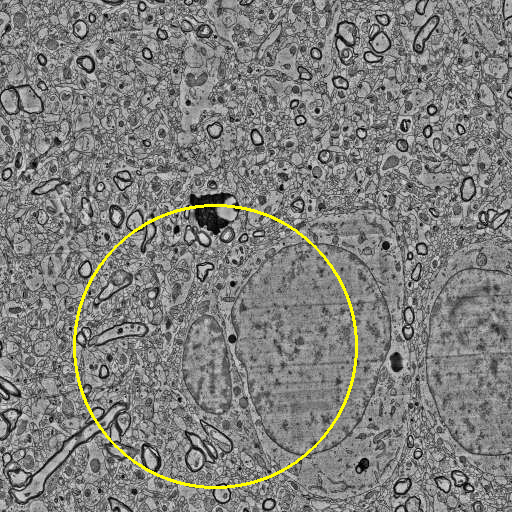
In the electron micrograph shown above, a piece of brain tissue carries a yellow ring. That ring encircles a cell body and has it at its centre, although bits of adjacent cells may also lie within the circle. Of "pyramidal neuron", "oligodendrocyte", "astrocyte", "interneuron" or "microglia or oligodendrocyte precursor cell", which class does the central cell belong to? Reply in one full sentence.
The cell body at the centre of the yellow ring belongs to an oligodendrocyte.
